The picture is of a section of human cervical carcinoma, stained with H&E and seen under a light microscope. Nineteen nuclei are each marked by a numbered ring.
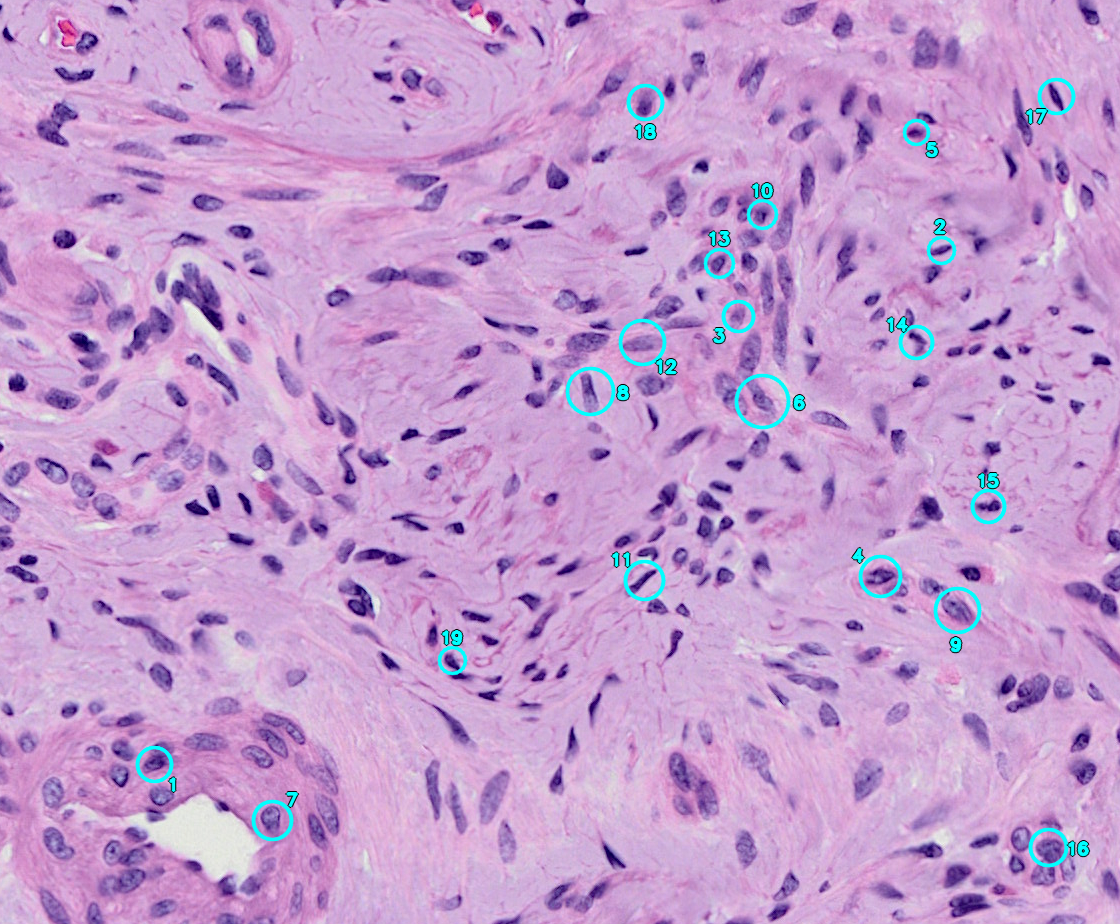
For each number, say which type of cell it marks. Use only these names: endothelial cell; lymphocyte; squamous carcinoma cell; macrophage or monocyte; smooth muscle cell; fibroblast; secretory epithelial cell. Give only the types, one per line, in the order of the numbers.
smooth muscle cell
fibroblast
smooth muscle cell
endothelial cell
smooth muscle cell
smooth muscle cell
smooth muscle cell
fibroblast
endothelial cell
smooth muscle cell
fibroblast
smooth muscle cell
smooth muscle cell
fibroblast
fibroblast
endothelial cell
fibroblast
smooth muscle cell
fibroblast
